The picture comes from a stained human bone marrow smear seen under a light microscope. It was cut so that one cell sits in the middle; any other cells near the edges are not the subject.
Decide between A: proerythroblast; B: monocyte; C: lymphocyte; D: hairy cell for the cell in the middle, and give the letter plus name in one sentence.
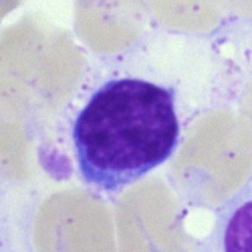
The correct option, C, names the middle cell as a lymphocyte.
